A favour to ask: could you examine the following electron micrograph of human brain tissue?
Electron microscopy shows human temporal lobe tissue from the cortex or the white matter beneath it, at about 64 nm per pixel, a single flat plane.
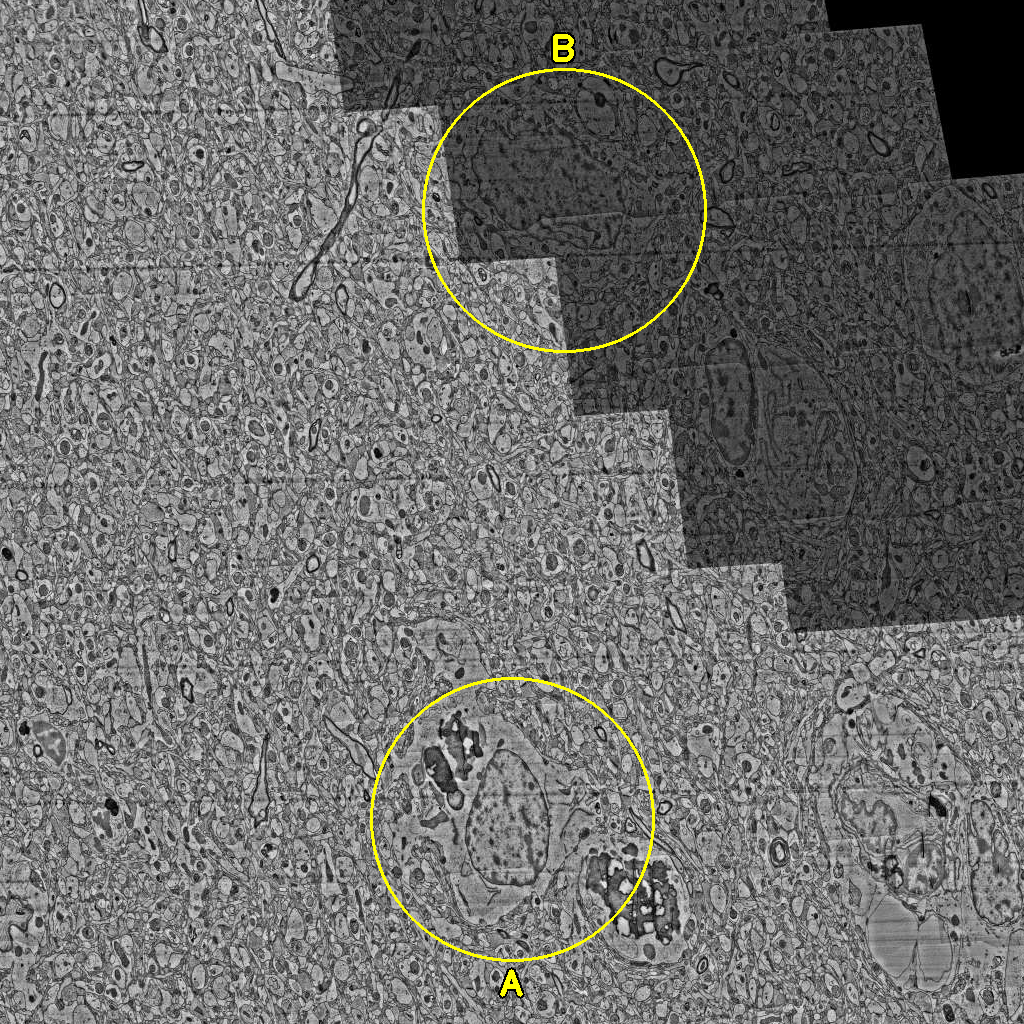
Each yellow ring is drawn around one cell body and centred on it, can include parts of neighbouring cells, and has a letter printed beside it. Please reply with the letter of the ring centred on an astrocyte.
A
